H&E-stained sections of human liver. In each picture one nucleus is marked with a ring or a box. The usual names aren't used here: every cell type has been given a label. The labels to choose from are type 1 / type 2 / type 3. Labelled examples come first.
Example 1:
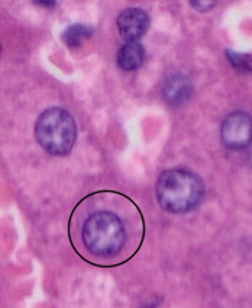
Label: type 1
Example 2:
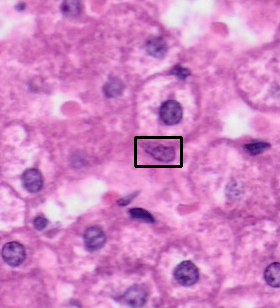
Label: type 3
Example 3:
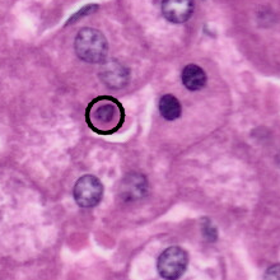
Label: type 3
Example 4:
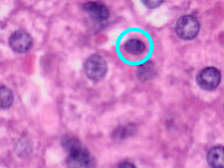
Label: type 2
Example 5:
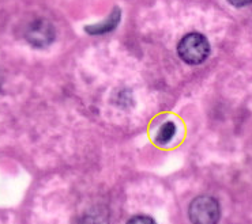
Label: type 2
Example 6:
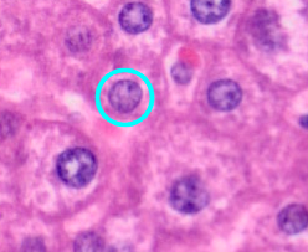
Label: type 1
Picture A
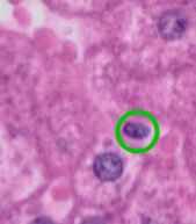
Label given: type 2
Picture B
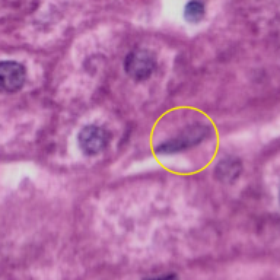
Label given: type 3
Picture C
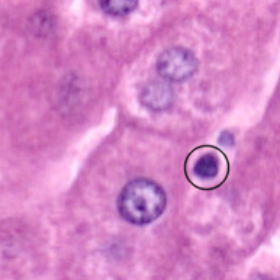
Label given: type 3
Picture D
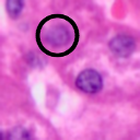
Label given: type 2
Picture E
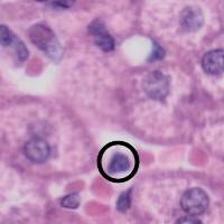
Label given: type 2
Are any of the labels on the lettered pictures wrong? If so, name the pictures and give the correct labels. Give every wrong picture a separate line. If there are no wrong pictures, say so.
C is labelled type 3; correct label: type 2
D is labelled type 2; correct label: type 1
